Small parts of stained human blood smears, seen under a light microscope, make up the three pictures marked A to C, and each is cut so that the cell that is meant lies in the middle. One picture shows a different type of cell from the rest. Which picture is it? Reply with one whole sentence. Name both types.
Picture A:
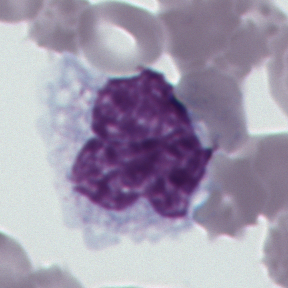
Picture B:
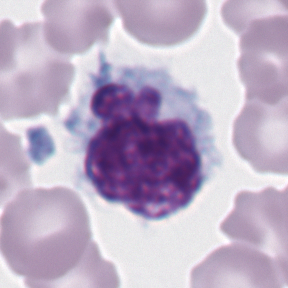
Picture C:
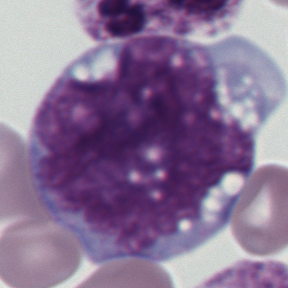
Picture B differs, because its cell is a hairy cell and the rest are monocytes.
